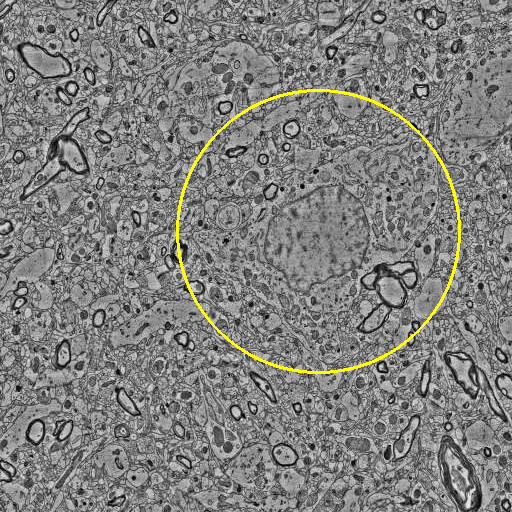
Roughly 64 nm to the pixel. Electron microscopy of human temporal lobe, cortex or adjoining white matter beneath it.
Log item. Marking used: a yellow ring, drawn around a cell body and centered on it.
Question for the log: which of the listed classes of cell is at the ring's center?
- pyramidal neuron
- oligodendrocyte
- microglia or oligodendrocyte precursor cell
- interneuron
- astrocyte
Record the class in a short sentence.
At the center of the ring lies an interneuron.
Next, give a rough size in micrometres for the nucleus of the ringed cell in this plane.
In this plane the ringed cell's nucleus is roughly 7 micrometres across.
